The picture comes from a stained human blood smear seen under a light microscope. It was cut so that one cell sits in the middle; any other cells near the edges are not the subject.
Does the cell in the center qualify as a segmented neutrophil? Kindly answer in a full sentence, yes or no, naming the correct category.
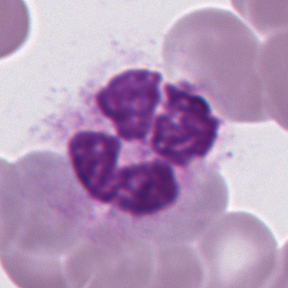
Yes, the cell lying in the centre of the crop is identified as a segmented neutrophil.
